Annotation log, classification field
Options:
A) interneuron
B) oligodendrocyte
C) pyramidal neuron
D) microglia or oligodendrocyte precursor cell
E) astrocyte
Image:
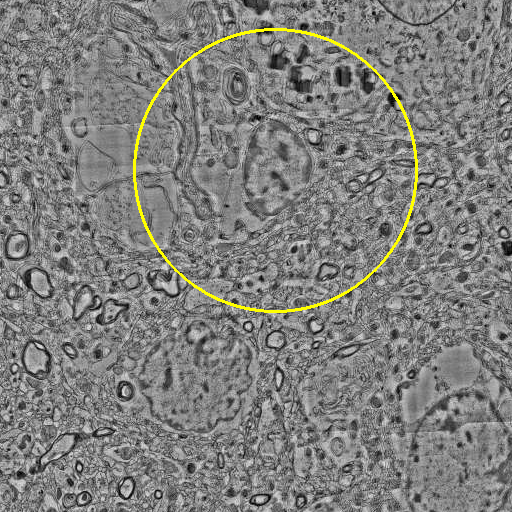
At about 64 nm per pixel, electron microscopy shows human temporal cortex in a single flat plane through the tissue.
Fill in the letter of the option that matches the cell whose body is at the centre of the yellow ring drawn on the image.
D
